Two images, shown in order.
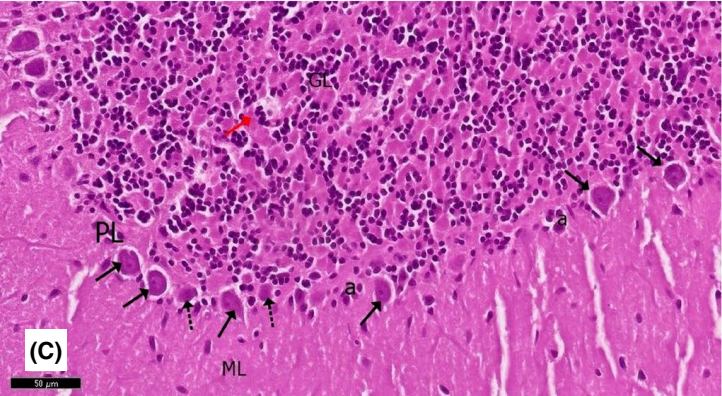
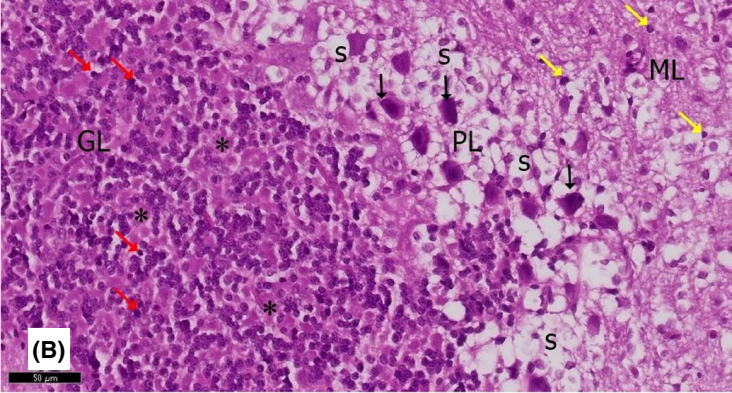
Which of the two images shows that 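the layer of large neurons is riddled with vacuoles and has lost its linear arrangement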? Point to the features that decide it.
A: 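The second image. First image: large neurons lie in one orderly row with compact pink tissue around them. Second image: large neurons are scattered among many clear empty vacuoles.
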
